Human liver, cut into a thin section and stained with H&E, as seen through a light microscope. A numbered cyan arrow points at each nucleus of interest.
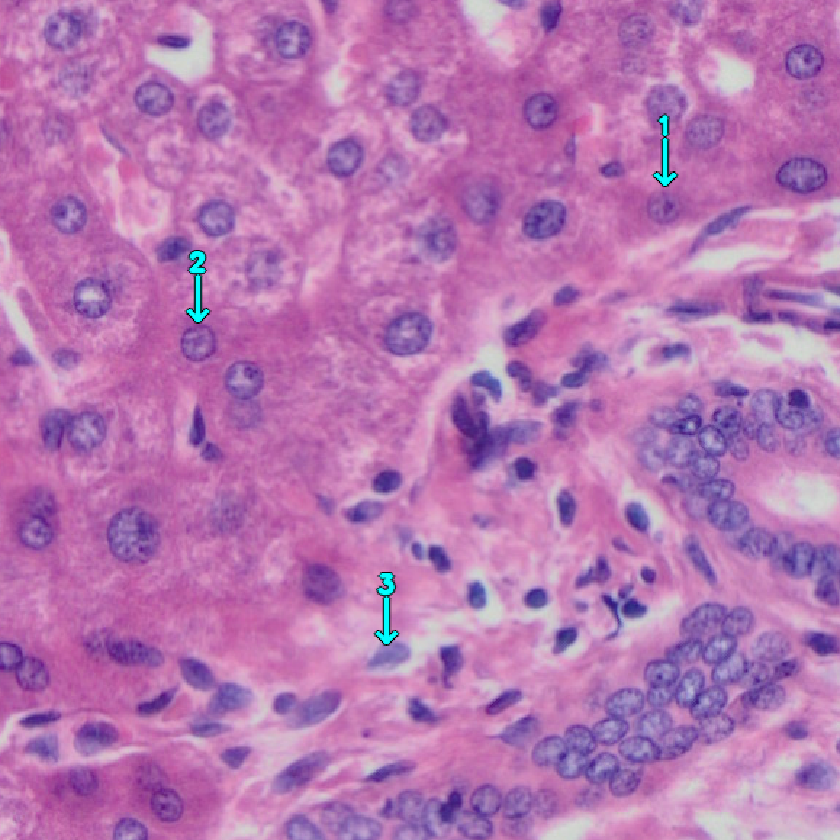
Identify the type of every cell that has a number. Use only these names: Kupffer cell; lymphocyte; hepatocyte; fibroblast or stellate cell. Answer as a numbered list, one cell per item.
1. hepatocyte
2. hepatocyte
3. fibroblast or stellate cell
